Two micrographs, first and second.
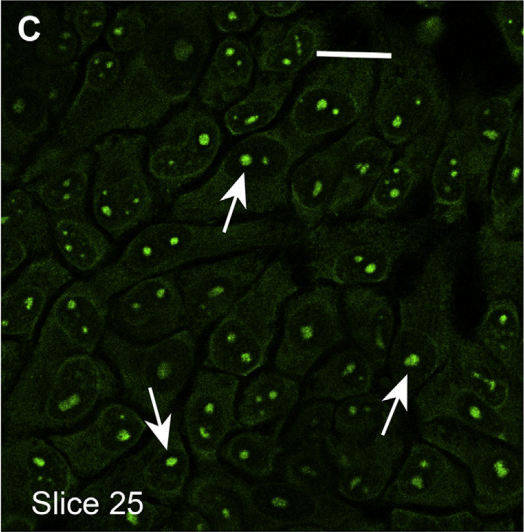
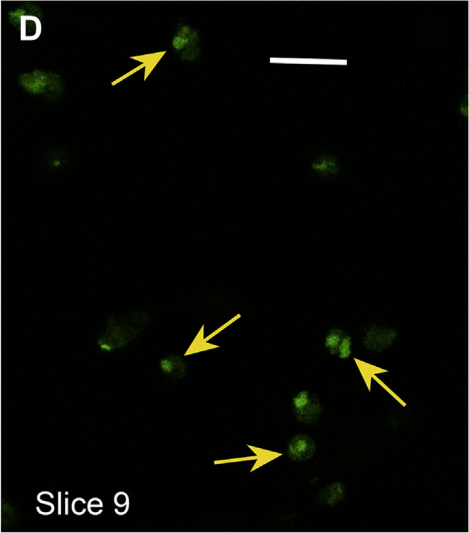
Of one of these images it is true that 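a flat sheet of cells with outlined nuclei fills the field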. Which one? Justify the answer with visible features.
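Second image: only scattered rounded bright bodies on a dark background, no cell outlines. First image: a continuous sheet of polygonal cells with oval nuclei and bright dots inside them.
Answer: the first image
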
